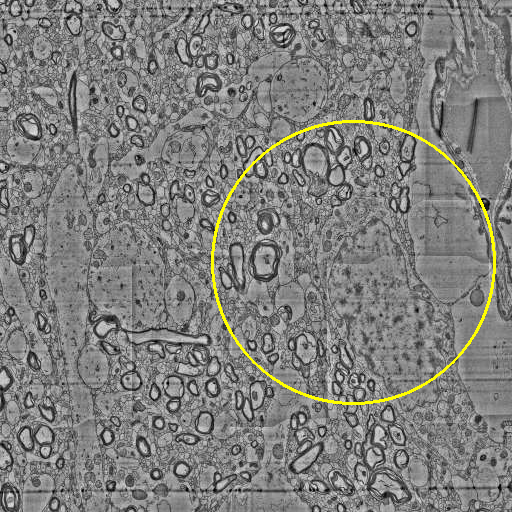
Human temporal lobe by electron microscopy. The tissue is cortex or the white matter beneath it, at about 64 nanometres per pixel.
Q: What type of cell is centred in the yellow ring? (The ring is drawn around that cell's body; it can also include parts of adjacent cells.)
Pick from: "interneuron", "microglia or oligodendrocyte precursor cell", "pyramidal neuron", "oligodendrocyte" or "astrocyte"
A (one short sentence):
The yellow ring is centred on an interneuron.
